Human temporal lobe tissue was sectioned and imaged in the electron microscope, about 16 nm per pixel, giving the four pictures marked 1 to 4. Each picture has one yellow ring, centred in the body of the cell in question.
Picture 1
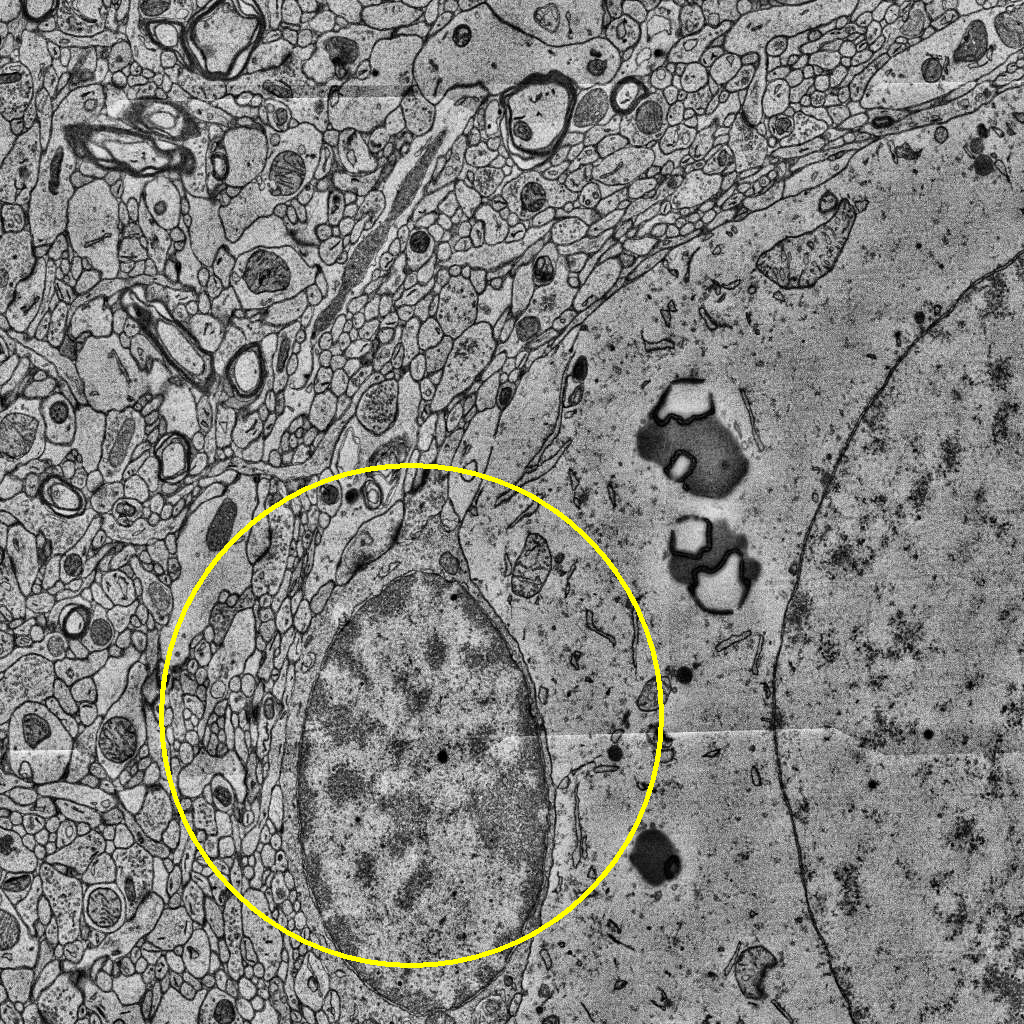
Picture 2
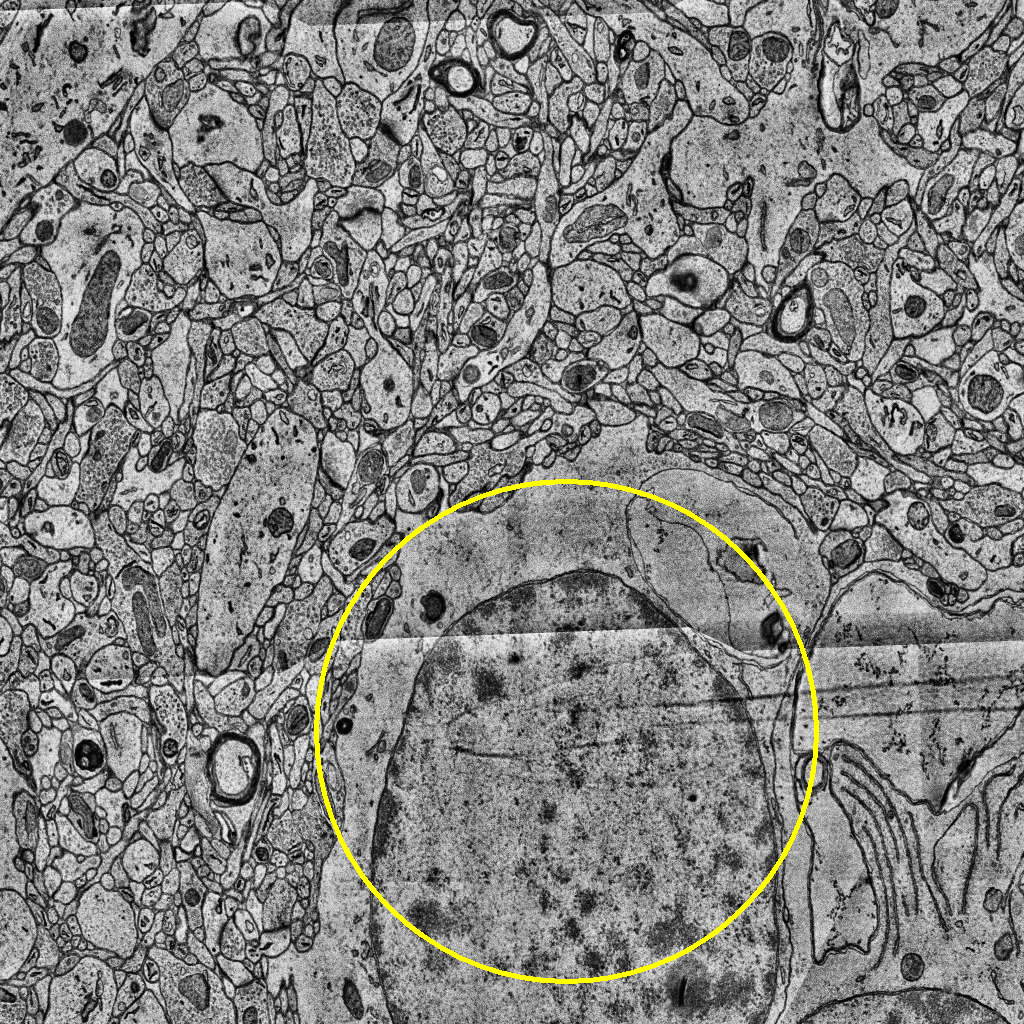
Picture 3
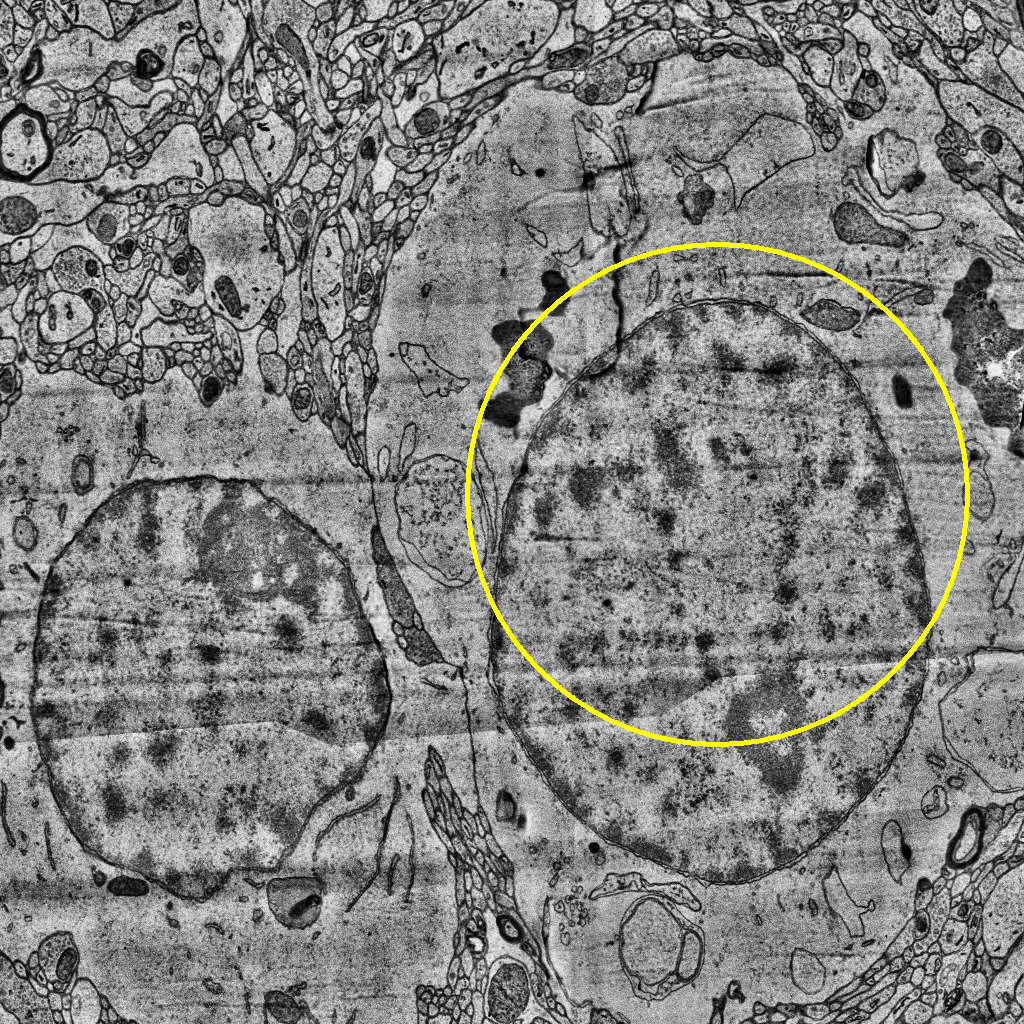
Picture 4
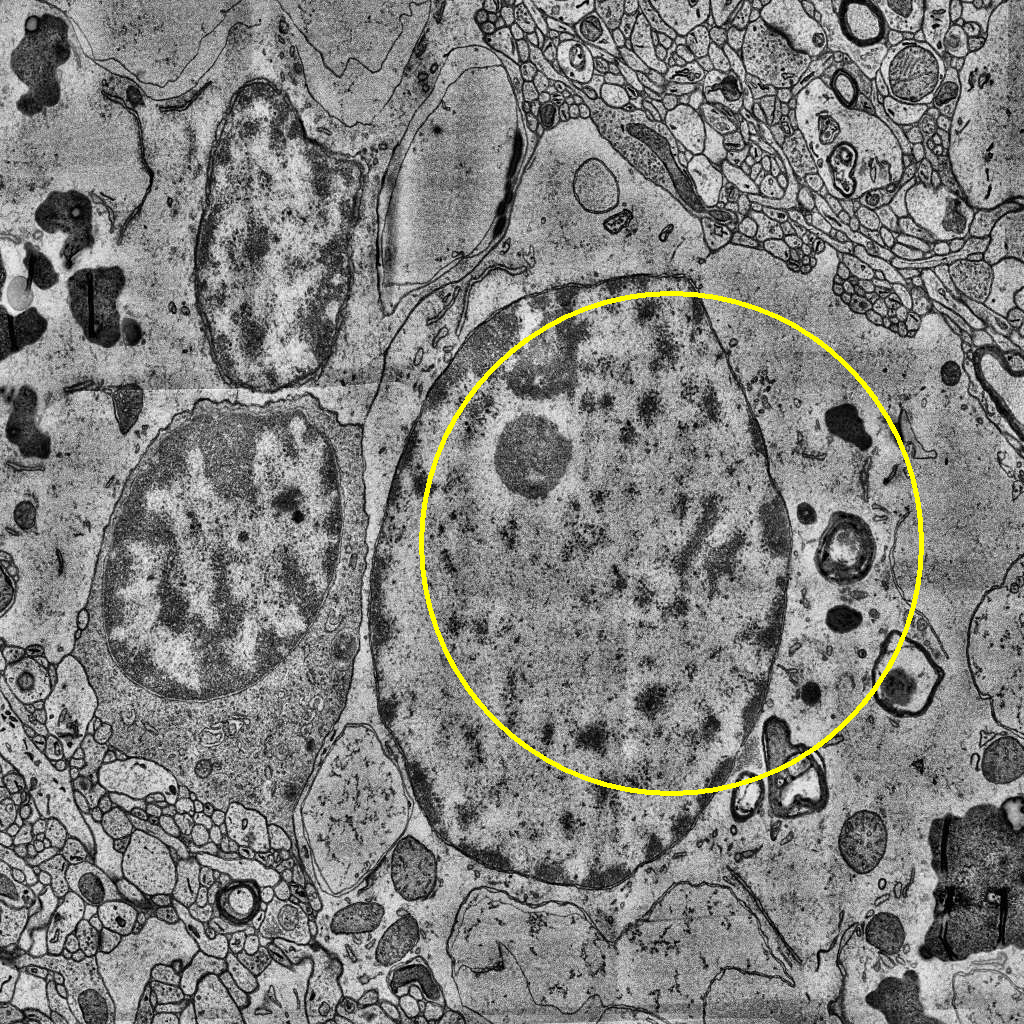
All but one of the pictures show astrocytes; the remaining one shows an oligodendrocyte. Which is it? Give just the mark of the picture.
1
